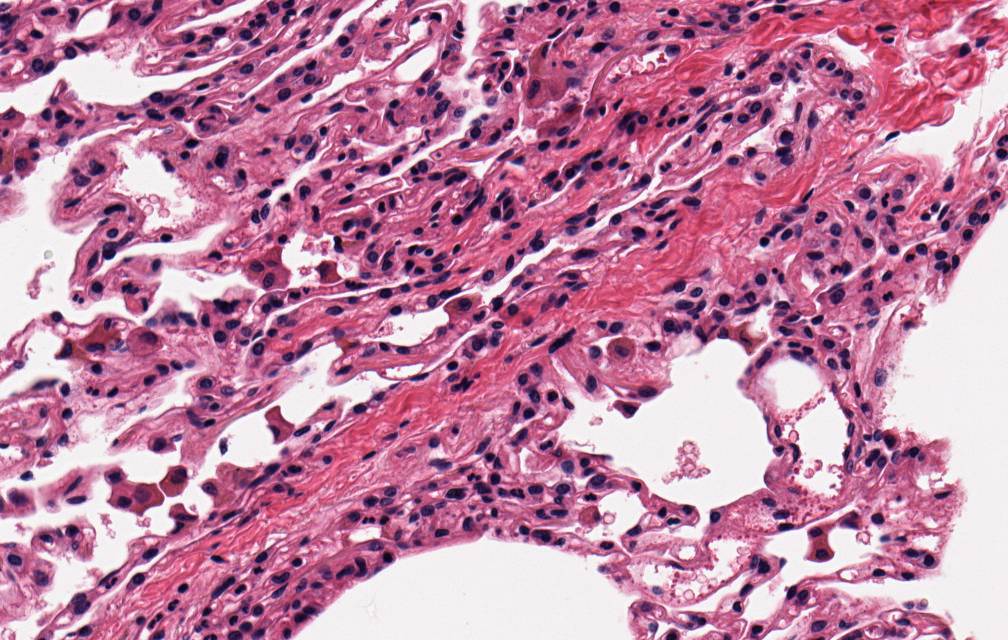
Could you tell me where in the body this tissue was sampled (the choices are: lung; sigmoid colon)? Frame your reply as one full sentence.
Tissue sampled from the lung forms this section.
